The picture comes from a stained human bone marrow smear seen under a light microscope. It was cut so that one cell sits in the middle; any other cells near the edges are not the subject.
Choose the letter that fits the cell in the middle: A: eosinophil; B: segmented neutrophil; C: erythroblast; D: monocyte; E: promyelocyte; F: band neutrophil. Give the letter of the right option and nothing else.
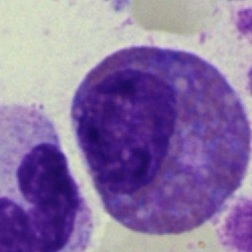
A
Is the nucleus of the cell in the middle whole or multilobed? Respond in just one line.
A single compact nucleus, round, oval or kidney-shaped, is what this cell shows.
